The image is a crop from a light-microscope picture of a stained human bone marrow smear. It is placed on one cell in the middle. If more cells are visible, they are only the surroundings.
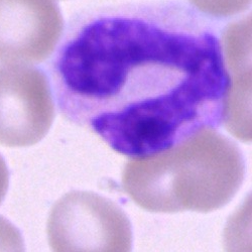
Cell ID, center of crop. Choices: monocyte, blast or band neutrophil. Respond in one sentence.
In the middle of this smear crop is a band neutrophil.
